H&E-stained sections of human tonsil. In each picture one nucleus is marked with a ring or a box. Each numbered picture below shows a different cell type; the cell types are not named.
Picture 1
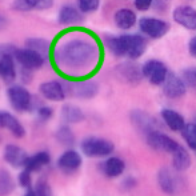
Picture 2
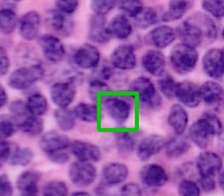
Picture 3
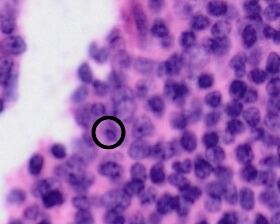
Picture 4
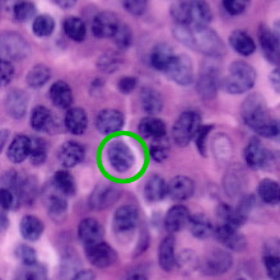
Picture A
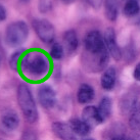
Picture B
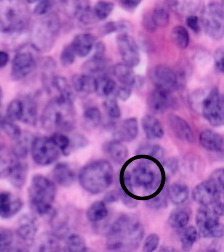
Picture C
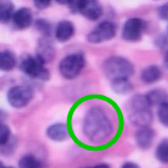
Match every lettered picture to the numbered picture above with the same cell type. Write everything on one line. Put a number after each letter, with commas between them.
A 4, B 3, C 1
